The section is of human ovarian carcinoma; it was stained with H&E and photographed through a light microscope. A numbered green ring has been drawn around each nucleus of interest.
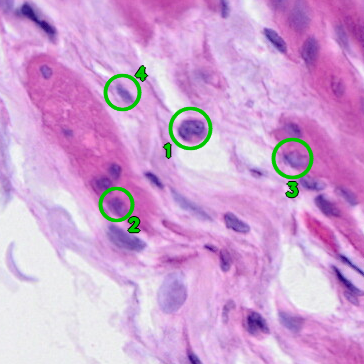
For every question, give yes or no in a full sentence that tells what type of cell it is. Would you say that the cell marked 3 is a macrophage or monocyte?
No, the cell referred to as 3 is a smooth muscle cell, not a macrophage or monocyte.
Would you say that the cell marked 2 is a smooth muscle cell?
Yes, correct, the cell with the number 2 is a smooth muscle cell.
